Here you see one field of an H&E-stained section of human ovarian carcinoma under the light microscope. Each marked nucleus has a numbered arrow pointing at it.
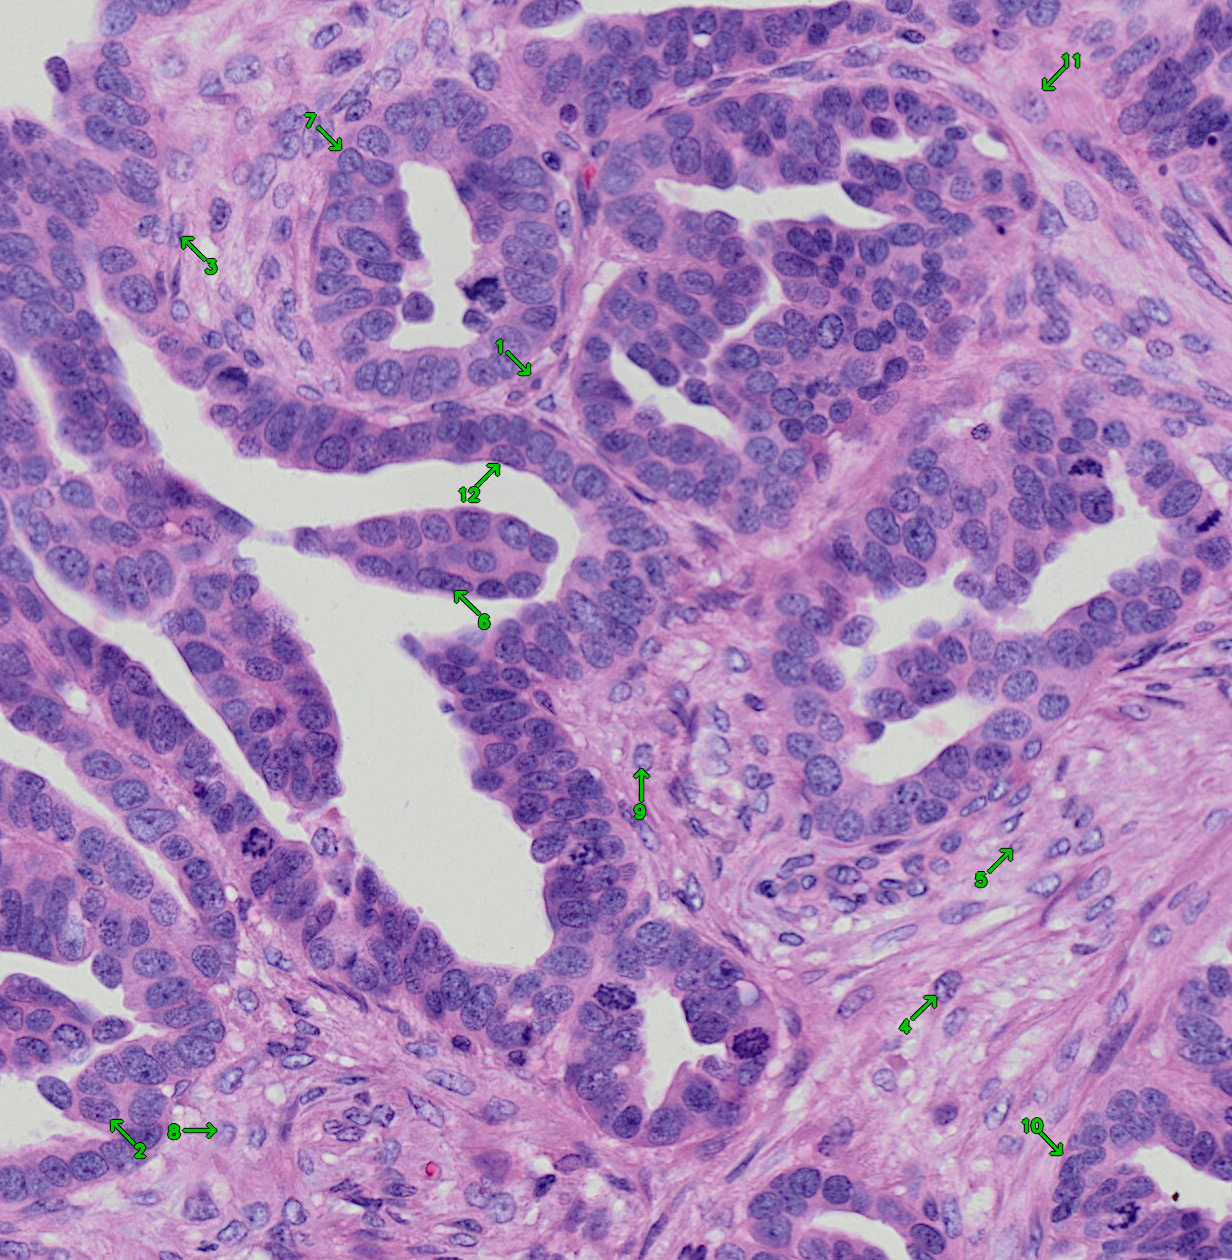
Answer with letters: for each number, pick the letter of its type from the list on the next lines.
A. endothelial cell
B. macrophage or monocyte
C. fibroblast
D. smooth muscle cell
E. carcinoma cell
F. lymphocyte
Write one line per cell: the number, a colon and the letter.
1: C
2: E
3: C
4: C
5: C
6: E
7: E
8: C
9: C
10: E
11: C
12: E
